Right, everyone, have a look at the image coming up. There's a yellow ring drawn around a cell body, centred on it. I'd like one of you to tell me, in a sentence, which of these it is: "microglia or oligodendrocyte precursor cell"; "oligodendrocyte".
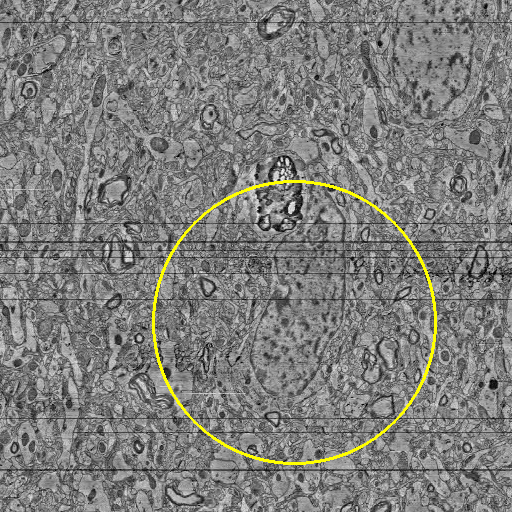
The yellow ring sits on a microglial cell or oligodendrocyte precursor cell.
